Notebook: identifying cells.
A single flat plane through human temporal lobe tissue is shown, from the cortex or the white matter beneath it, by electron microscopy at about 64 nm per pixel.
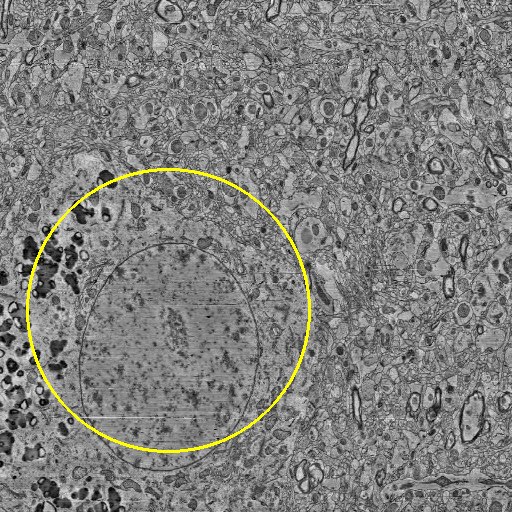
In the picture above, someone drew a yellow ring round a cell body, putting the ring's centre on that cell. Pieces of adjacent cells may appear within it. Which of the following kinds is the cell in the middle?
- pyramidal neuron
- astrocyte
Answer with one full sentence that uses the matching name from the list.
In this picture, the yellow ring is centred on the body of a pyramidal neuron.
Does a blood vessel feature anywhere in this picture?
No.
